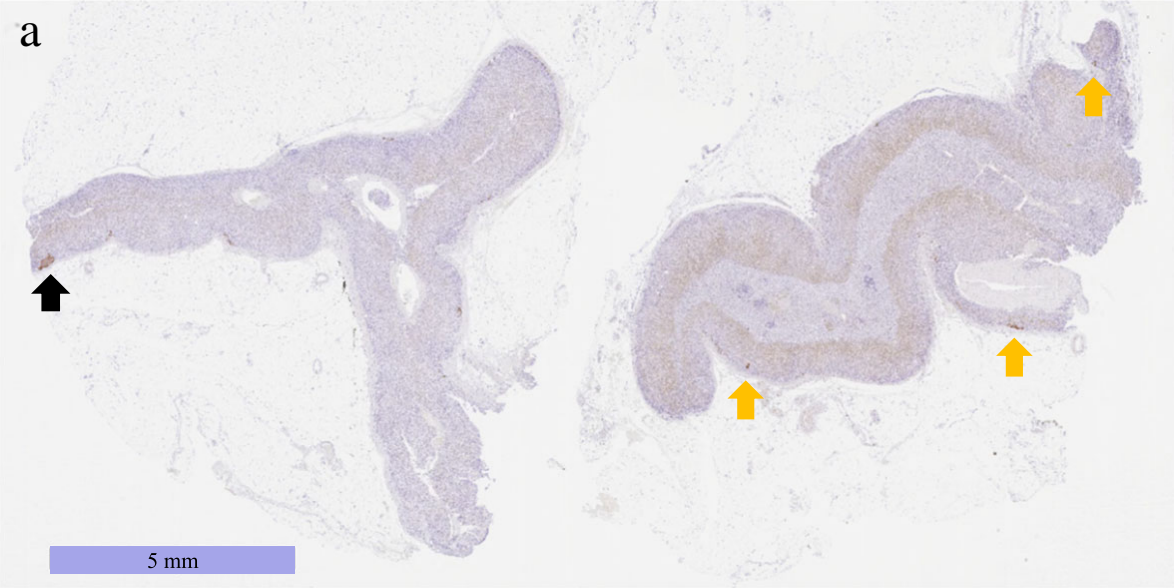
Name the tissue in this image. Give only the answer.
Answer: adrenal gland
